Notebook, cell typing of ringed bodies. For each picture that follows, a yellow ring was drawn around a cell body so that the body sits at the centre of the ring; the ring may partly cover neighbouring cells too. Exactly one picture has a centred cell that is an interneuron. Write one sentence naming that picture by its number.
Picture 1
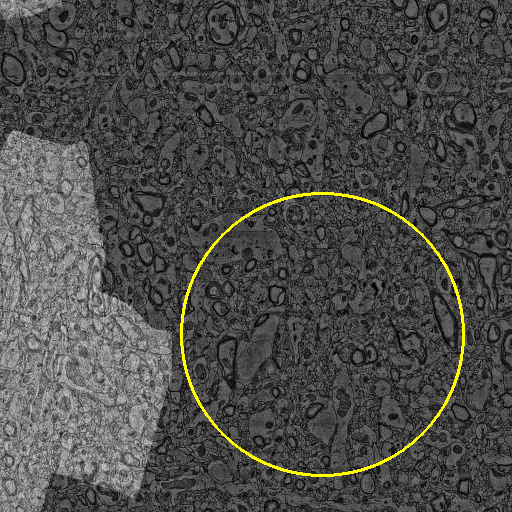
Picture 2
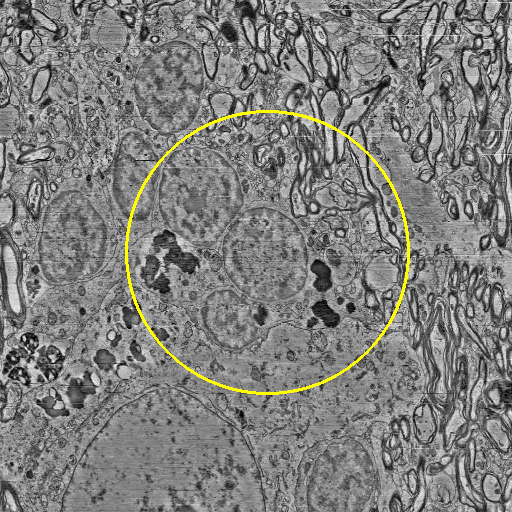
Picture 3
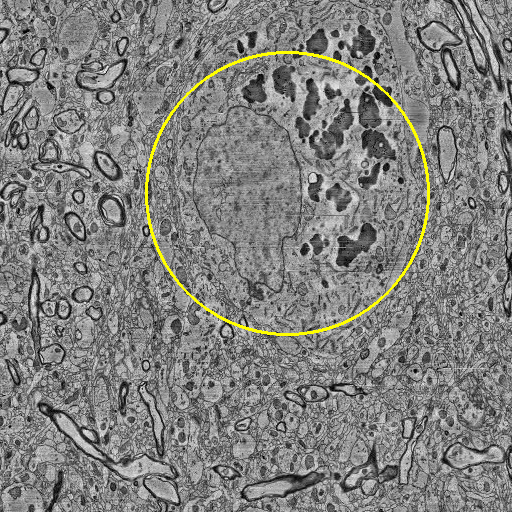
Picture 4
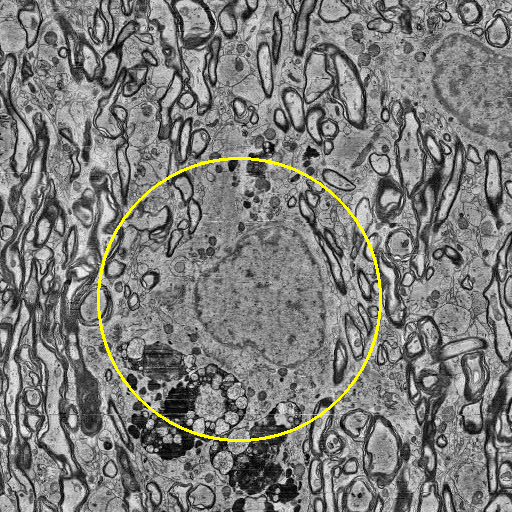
Picture 3 is the one with it at the centre of its ring.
